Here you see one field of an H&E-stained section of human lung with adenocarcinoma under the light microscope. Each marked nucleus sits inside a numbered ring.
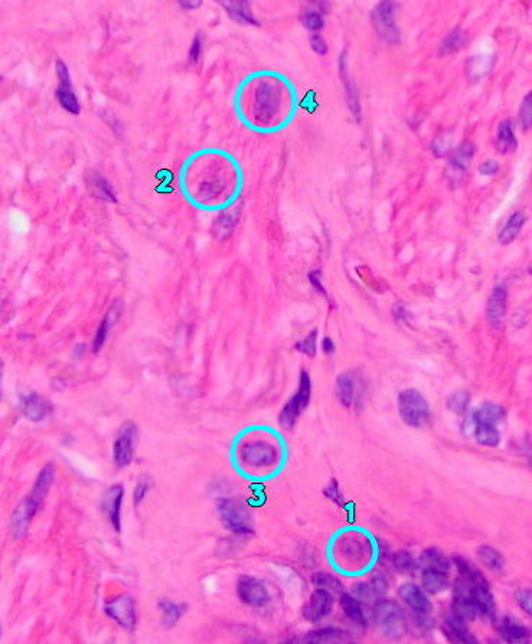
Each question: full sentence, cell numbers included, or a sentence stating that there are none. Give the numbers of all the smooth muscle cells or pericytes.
The cells to which the numbers 2 and 4 refer are smooth muscle cells or pericytes.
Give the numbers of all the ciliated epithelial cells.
In contrast to the remaining marked cells, cell 1 is a ciliated epithelial cell.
